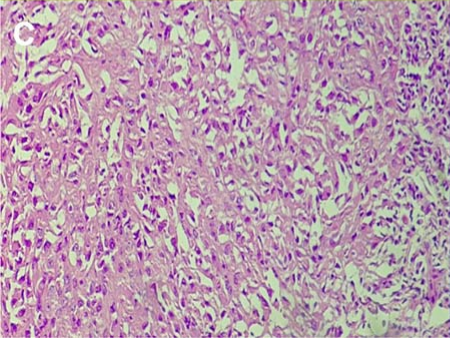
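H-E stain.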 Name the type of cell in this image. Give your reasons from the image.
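Cells lie in loose interlacing strands in pink stroma.
Answer: spindle-shaped cells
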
